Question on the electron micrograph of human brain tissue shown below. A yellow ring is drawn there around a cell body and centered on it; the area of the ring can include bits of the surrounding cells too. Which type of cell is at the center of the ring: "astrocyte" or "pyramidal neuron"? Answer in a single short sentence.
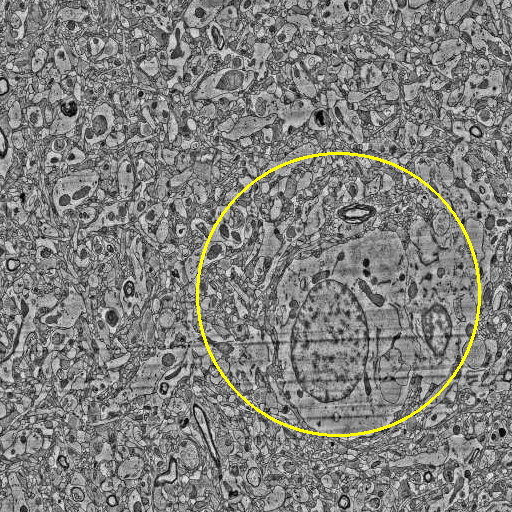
The ring is centered on an astrocyte.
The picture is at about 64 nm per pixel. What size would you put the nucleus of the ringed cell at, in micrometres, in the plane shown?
In this plane the nucleus is clearly longer than it is wide: roughly 8 by 5 micrometres.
